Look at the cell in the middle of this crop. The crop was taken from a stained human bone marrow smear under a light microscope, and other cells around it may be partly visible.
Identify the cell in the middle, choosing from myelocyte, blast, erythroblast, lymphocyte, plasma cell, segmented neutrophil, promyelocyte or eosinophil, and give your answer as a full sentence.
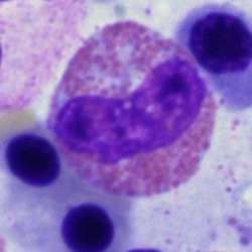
On this slide crop, the central cell is an eosinophil.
